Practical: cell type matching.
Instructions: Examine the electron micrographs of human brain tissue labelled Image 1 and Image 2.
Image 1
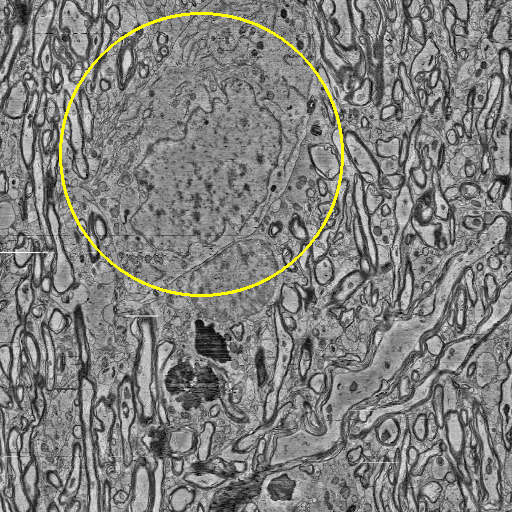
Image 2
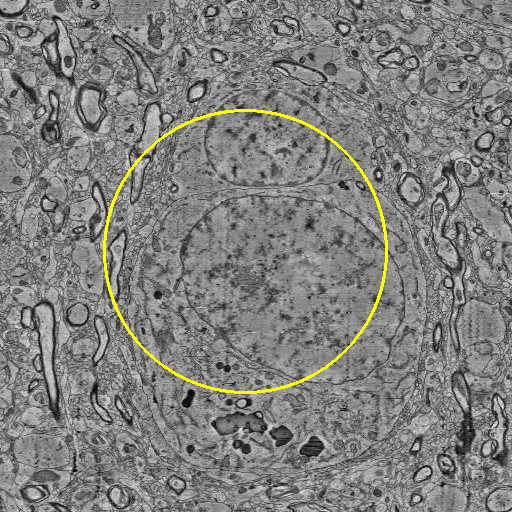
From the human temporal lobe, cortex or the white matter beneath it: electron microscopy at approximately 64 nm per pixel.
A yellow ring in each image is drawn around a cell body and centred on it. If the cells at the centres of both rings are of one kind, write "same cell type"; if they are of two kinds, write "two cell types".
same cell type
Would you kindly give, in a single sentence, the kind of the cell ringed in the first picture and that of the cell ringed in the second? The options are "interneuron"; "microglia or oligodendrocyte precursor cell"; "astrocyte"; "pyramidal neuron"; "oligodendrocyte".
The second cell is an interneuron, just as the first is.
